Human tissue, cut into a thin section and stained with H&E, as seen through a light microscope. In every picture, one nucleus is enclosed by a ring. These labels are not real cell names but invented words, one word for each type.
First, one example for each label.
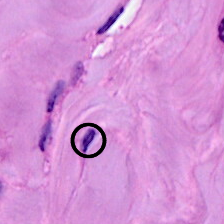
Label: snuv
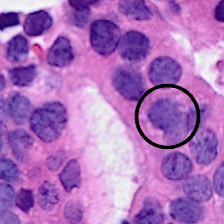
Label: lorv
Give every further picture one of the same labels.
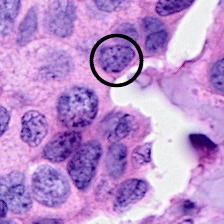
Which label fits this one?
lorv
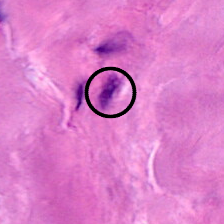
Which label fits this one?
snuv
